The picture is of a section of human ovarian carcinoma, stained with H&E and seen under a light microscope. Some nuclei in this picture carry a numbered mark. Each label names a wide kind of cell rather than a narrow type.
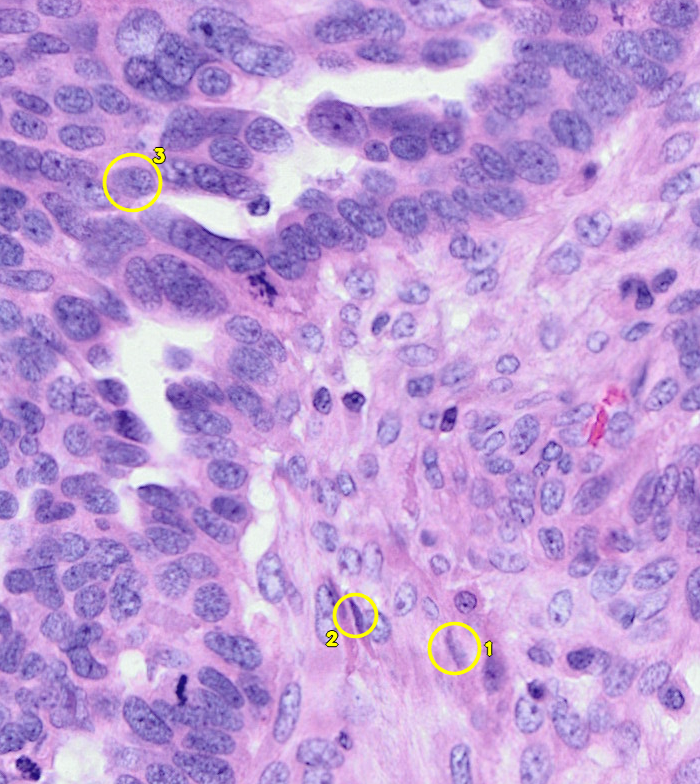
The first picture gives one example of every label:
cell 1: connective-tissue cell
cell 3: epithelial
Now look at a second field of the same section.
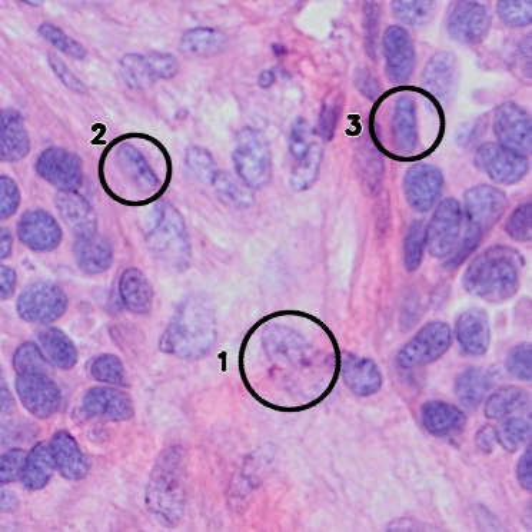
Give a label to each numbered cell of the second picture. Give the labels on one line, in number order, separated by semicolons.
connective-tissue cell; connective-tissue cell; epithelial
